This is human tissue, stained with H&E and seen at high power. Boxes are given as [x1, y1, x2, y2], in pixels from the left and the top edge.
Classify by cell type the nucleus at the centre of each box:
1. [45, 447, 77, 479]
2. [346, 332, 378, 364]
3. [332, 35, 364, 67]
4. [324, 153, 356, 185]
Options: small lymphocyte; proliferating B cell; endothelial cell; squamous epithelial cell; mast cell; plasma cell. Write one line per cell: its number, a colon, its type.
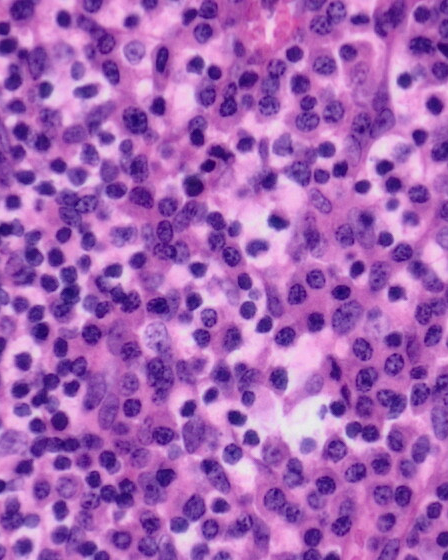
1: small lymphocyte
2: plasma cell
3: plasma cell
4: plasma cell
